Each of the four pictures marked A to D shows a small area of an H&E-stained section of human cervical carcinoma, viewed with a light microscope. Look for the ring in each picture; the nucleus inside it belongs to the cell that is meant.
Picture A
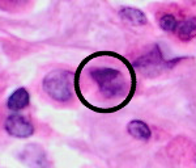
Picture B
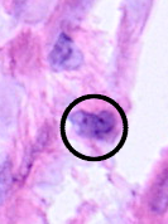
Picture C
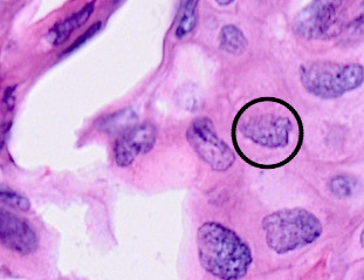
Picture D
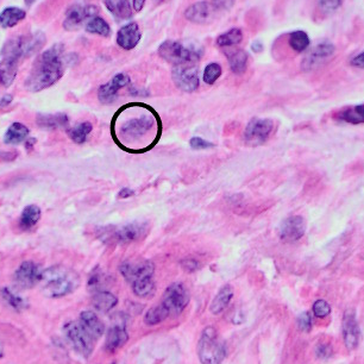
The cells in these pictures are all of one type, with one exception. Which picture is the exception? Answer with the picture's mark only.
C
